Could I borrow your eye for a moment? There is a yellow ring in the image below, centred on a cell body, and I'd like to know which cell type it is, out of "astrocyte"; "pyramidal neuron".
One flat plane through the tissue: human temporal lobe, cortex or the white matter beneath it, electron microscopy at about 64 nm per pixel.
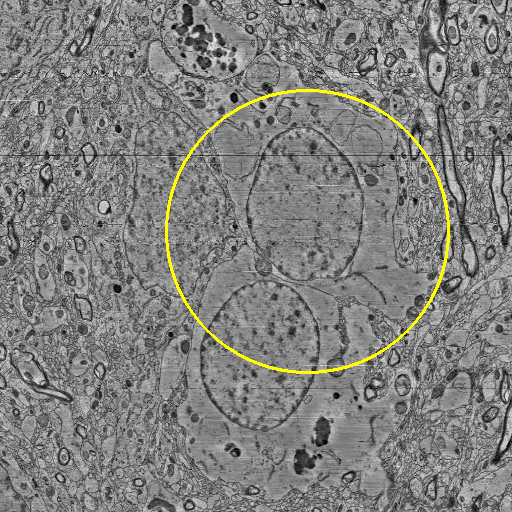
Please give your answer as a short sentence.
The cell body at the centre is that of an astrocyte.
